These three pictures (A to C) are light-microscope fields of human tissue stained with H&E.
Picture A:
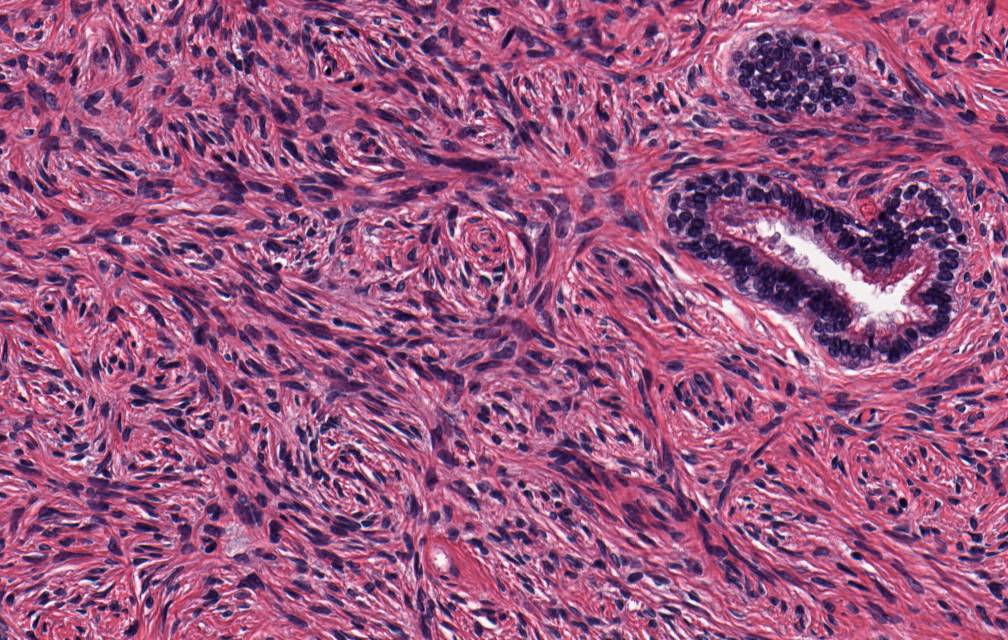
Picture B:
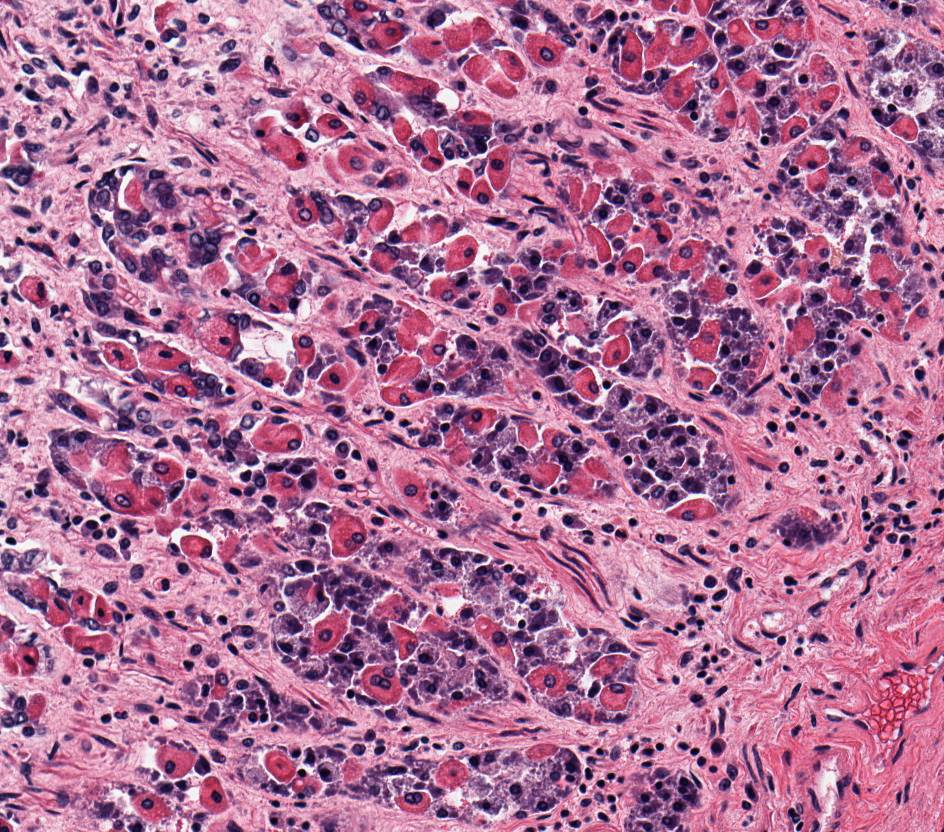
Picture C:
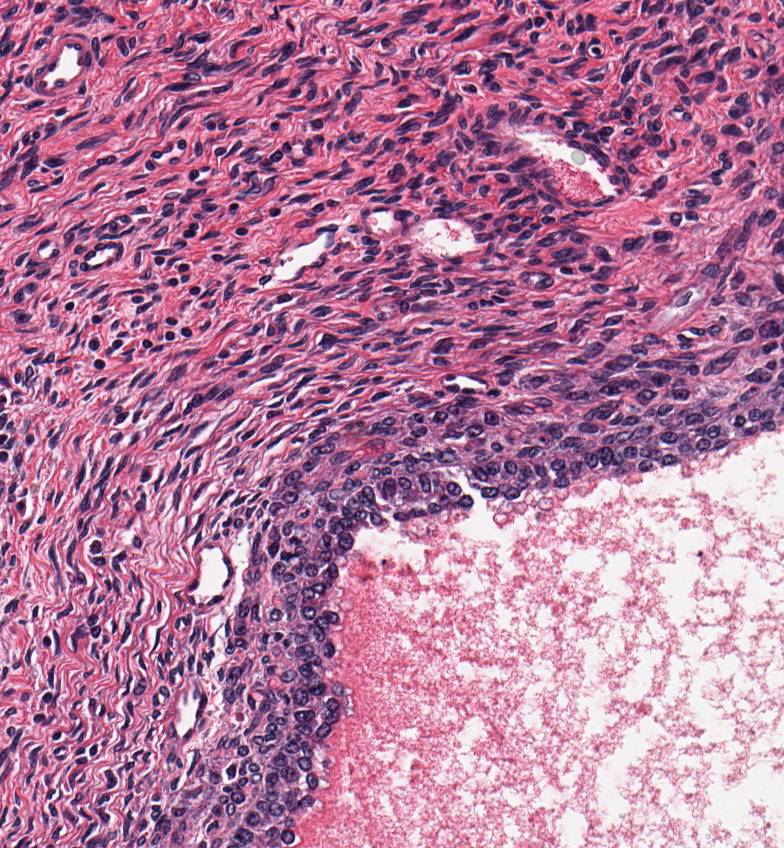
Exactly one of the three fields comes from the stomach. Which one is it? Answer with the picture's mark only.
B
